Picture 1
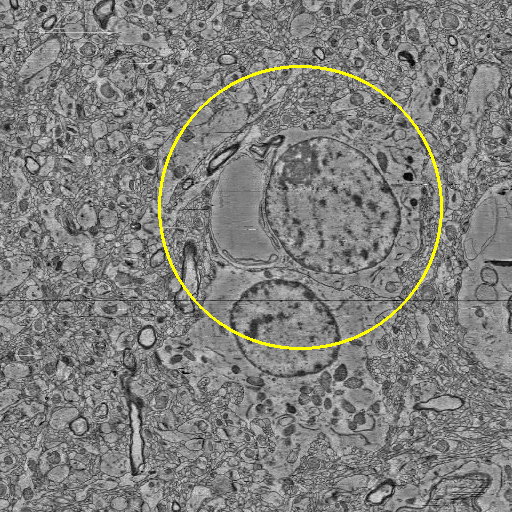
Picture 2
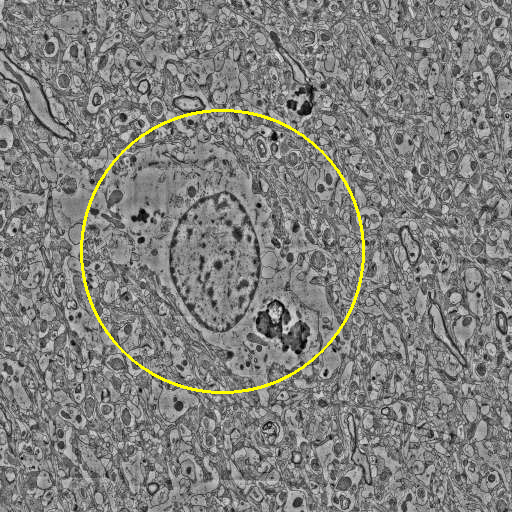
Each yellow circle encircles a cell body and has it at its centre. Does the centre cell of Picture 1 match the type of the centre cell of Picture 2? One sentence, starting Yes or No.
Yes, the cell centred in Picture 1 and the one in Picture 2 share a type.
